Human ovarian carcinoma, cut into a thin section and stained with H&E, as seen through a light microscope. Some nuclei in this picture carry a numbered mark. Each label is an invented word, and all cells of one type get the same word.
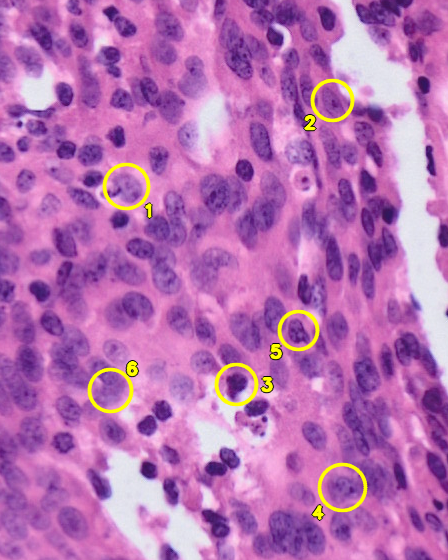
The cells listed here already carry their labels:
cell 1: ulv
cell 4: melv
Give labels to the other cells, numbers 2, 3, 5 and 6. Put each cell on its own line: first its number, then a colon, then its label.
2: melv
3: melv
5: ulv
6: melv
